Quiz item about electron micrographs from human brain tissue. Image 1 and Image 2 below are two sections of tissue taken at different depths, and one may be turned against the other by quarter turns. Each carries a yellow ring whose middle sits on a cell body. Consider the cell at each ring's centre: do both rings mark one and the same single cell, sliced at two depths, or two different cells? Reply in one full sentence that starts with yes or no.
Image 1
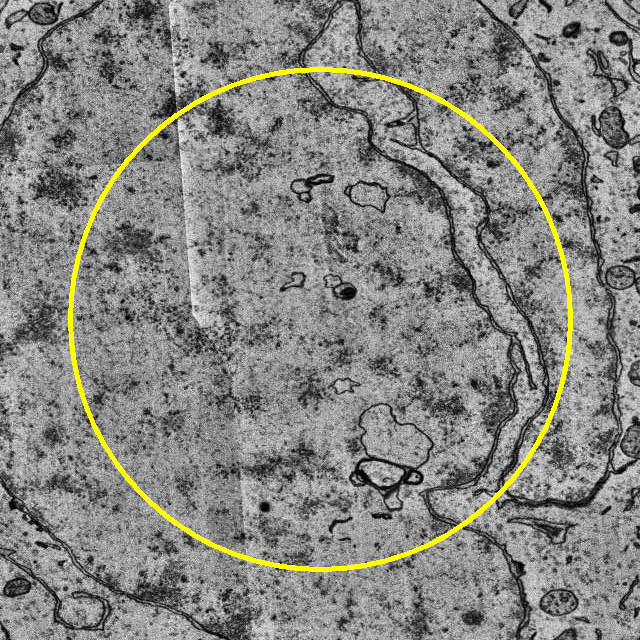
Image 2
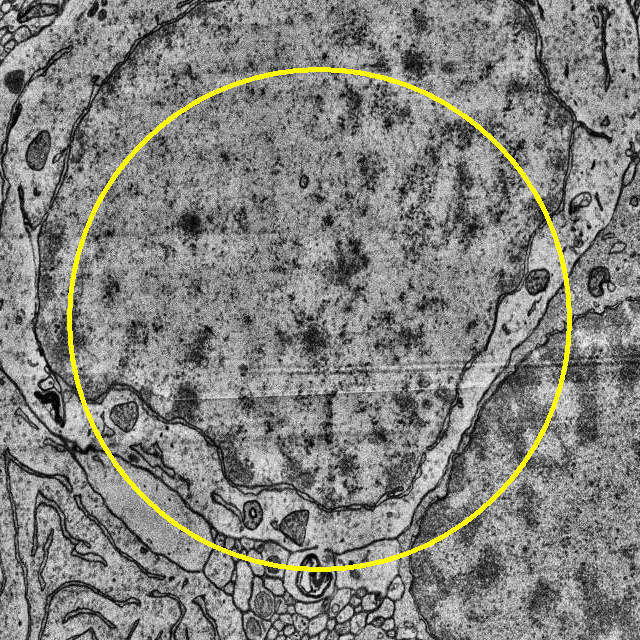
Yes, one and the same cell lies under both rings.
